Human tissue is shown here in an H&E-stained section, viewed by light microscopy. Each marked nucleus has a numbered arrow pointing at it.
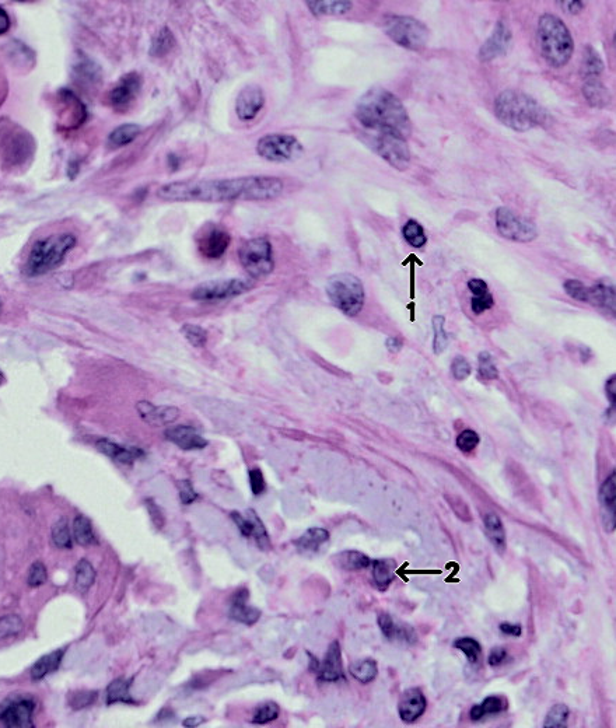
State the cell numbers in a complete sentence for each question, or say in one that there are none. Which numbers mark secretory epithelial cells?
Not one numbered cell here is one of the secretory epithelial cells.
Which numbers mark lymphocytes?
Just one of the numbered cells is a lymphocyte, namely number 1.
